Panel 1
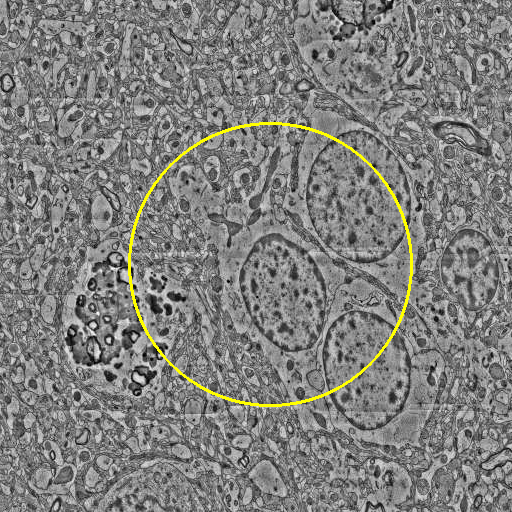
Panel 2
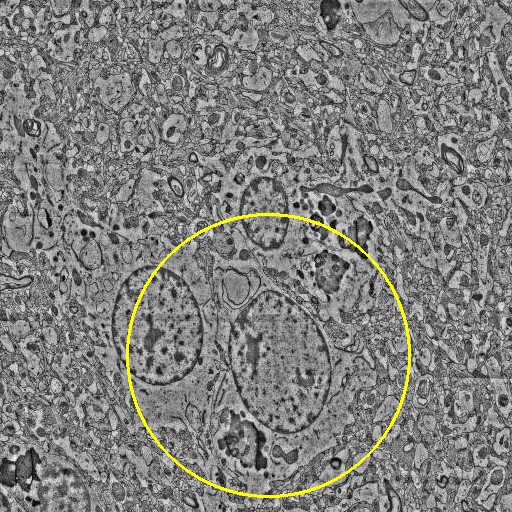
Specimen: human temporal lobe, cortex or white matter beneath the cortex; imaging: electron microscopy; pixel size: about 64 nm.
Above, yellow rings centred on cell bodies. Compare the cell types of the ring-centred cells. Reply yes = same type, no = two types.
yes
